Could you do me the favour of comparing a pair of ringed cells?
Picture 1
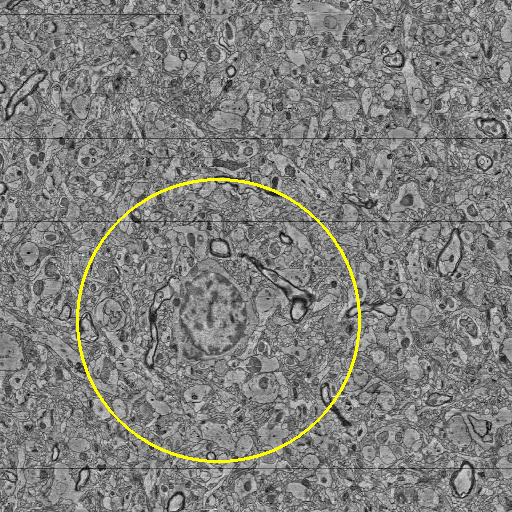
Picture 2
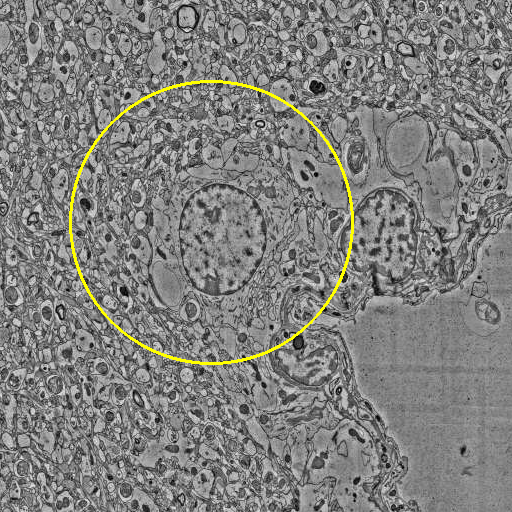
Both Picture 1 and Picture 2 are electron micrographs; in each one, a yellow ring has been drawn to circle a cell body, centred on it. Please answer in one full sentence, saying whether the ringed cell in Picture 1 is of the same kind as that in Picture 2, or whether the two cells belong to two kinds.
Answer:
The ringed cells in Picture 1 and Picture 2 belong to two kinds.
